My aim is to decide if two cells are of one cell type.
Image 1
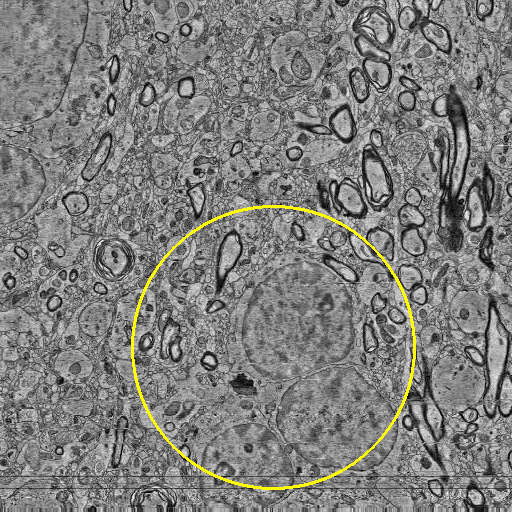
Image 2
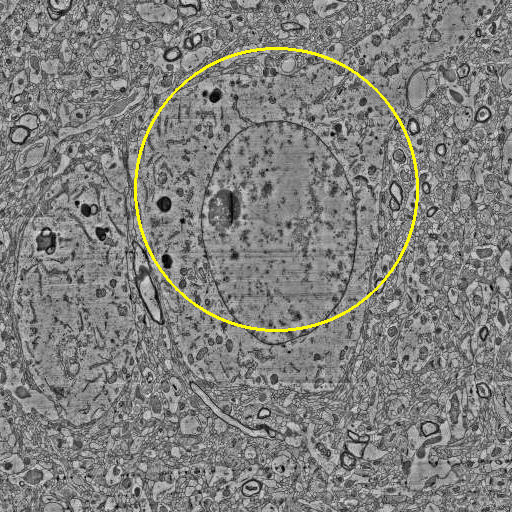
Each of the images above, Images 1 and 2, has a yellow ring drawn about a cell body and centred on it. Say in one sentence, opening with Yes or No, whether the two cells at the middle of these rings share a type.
No, in Images 1 and 2 the cells at the middle of the rings fall into two types.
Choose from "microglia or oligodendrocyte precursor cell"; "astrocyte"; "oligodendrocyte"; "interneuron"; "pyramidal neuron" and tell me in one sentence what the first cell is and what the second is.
What the first ring is centred on is an oligodendrocyte; what the second ring is centred on is a pyramidal neuron.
